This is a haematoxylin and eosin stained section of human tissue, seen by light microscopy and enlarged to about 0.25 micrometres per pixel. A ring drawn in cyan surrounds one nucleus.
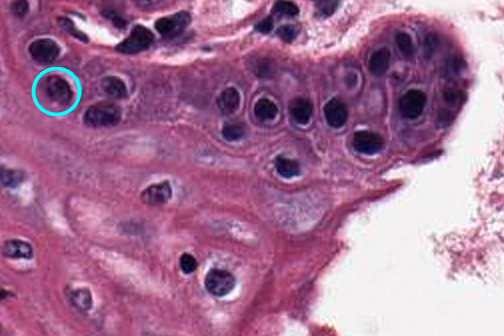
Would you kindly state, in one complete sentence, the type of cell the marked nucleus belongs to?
A nucleus belonging to a squamous epithelial cell is the one marked.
